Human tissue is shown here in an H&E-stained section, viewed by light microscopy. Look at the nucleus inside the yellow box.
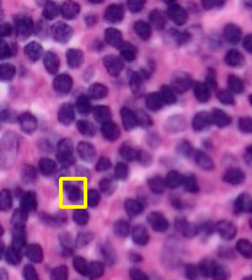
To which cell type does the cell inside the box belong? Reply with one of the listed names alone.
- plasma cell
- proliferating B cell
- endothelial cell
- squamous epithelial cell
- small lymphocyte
small lymphocyte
